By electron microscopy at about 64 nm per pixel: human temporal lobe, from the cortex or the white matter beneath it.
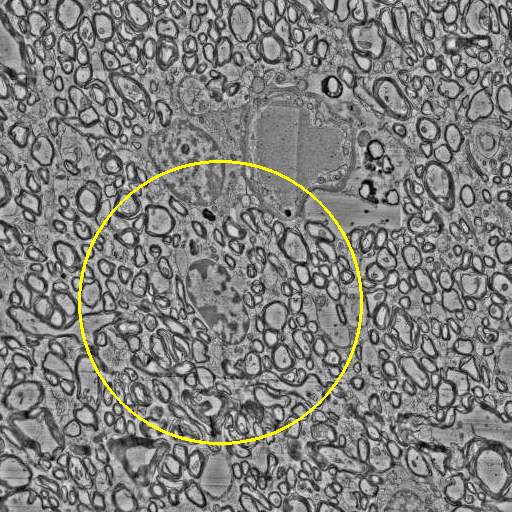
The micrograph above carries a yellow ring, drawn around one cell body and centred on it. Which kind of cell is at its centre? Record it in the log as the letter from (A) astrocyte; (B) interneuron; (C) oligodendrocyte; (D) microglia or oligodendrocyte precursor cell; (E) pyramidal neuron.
D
